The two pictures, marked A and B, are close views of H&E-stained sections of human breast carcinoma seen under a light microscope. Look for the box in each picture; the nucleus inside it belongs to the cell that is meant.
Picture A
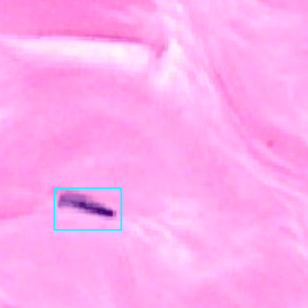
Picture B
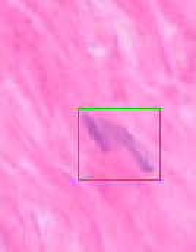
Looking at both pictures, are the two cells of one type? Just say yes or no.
yes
